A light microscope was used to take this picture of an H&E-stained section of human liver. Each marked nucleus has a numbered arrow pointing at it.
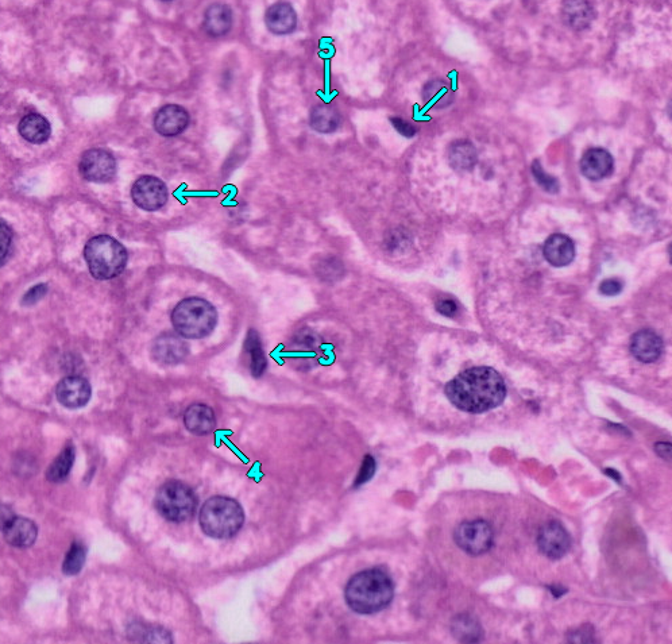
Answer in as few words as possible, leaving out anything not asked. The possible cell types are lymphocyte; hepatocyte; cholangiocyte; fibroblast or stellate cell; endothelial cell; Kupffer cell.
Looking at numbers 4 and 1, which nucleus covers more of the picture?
4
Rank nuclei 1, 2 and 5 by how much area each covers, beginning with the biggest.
2, 5, 1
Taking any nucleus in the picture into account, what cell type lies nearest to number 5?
endothelial cell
